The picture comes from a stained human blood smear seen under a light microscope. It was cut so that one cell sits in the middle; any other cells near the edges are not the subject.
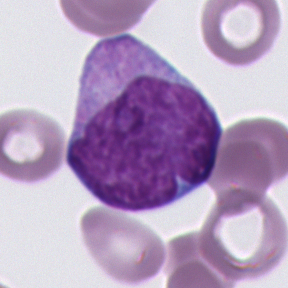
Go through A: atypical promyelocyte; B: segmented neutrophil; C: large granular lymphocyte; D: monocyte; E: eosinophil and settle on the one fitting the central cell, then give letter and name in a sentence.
The central cell of the crop is an atypical promyelocyte, which makes A the correct option.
